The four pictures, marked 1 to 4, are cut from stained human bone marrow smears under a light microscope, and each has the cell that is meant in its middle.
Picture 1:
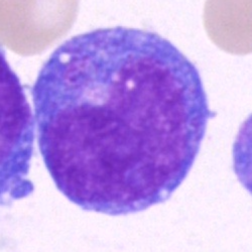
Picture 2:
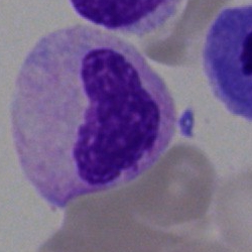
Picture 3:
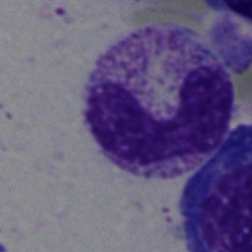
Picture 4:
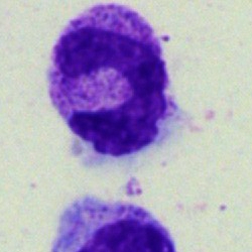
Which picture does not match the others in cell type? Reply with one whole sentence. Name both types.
Picture 1 differs, because its cell is a promyelocyte and the rest are band neutrophils.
